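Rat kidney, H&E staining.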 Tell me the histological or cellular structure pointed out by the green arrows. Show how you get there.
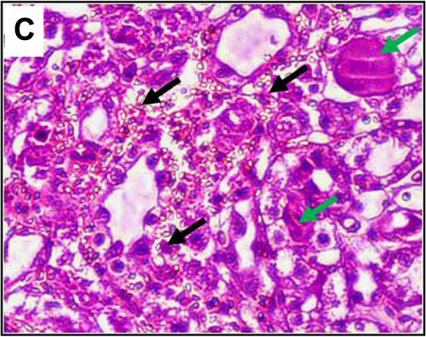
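Proteinaceous casts. The green arrows point to homogeneous, deeply pink material filling tubular lumens. One of the pointed masses is laminated and fills a whole tubule.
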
